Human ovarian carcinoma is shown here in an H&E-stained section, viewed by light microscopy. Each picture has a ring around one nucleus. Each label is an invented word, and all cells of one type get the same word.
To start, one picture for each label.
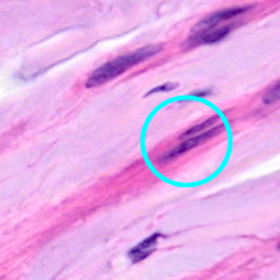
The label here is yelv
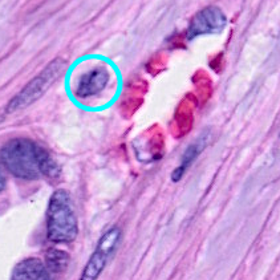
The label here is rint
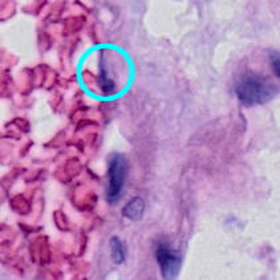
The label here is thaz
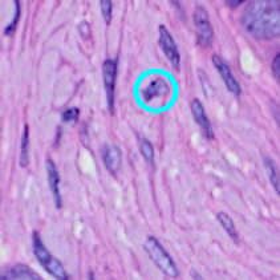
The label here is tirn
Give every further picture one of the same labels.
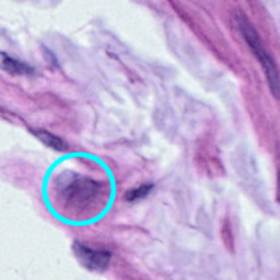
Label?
thaz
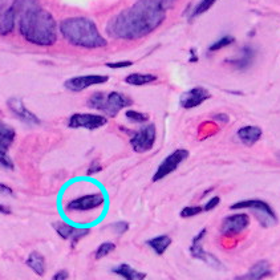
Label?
yelv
